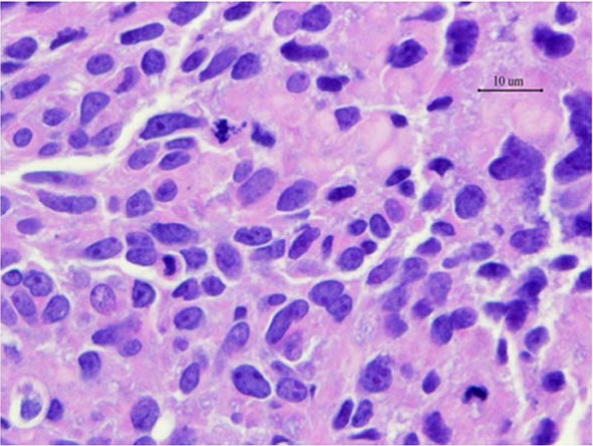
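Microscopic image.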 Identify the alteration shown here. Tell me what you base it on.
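Tumor. Cells are densely crowded with little intervening stroma. Nuclei are large and vary markedly in size and shape. Several nuclei are very dark and enlarged.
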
